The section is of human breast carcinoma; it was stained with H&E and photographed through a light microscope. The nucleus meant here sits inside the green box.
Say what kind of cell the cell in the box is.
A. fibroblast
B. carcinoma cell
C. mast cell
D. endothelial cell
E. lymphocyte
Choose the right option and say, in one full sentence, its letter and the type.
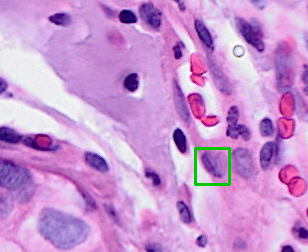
Option D is the one to take: the cell in the box is an endothelial cell.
